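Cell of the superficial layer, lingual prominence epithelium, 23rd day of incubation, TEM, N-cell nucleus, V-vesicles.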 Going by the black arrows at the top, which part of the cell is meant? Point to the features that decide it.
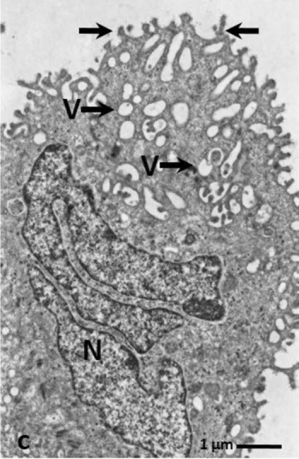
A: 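The arrows point at short finger-like projections of the free cell surface. Many small projections fringe the apical border of the cell.
Microvilli.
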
